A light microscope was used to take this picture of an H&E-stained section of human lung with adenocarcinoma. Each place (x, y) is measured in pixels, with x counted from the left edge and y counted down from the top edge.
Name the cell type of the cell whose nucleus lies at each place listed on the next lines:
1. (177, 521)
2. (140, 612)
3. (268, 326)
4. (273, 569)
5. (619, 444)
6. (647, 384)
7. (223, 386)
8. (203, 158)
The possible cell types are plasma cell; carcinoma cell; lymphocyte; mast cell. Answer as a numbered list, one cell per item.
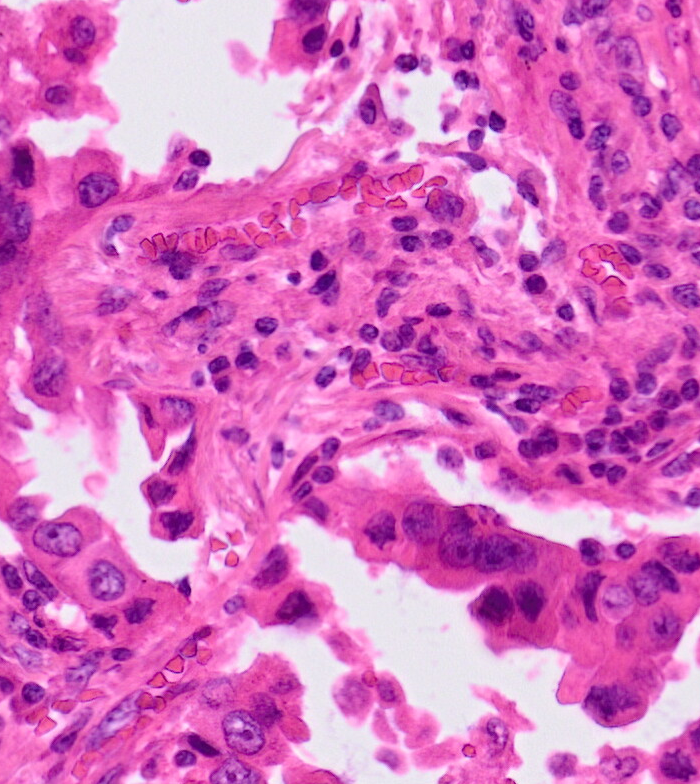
1. carcinoma cell
2. carcinoma cell
3. lymphocyte
4. carcinoma cell
5. lymphocyte
6. lymphocyte
7. plasma cell
8. lymphocyte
